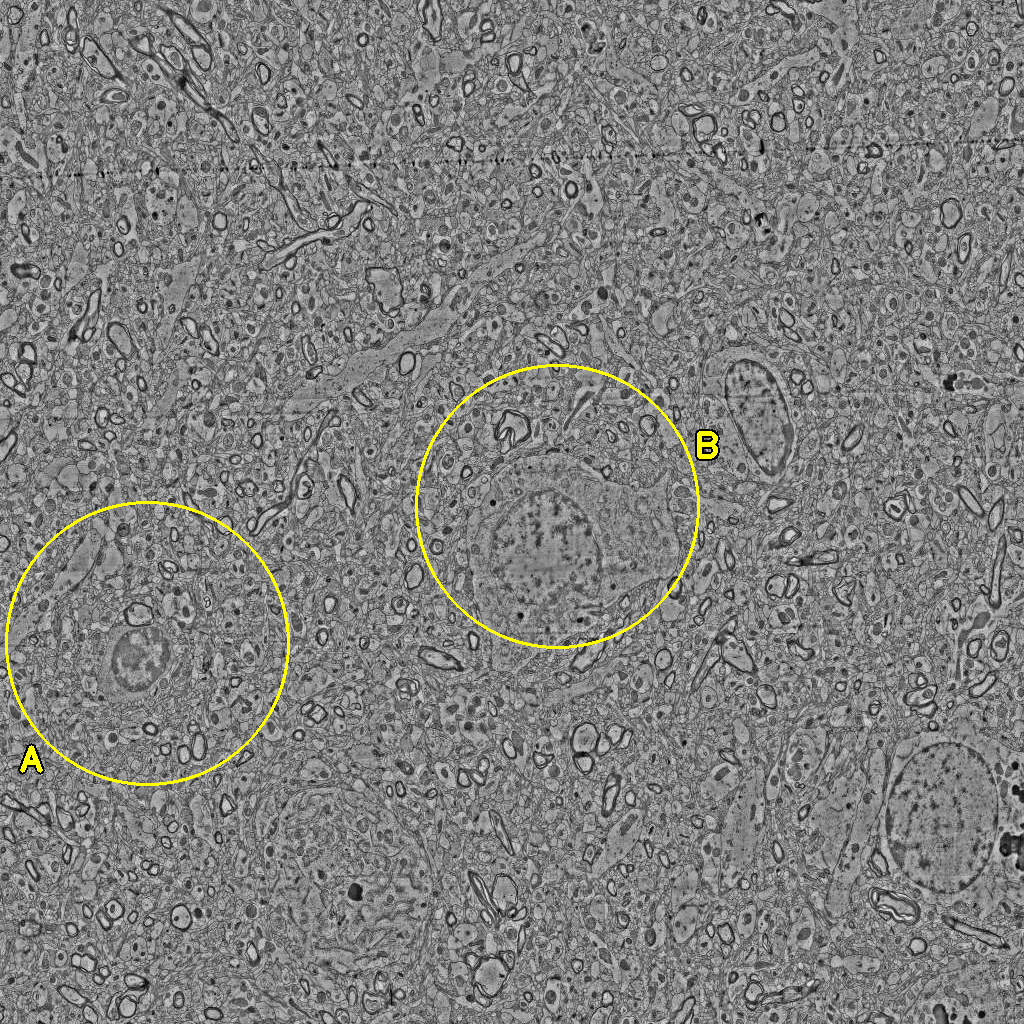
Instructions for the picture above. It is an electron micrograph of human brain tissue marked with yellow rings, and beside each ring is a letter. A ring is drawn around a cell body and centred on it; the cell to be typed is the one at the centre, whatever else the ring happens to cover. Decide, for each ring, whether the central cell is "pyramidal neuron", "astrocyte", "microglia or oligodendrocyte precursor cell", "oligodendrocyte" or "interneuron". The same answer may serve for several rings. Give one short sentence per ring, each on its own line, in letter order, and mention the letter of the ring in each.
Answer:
Ring A is drawn around an oligodendrocyte.
Ring B is drawn around an interneuron.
